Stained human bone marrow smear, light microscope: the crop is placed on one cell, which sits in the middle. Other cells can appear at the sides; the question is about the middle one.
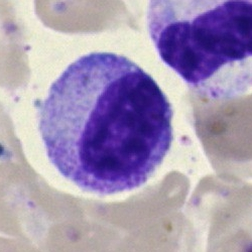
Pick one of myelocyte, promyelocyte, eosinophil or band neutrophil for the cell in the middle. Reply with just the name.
myelocyte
